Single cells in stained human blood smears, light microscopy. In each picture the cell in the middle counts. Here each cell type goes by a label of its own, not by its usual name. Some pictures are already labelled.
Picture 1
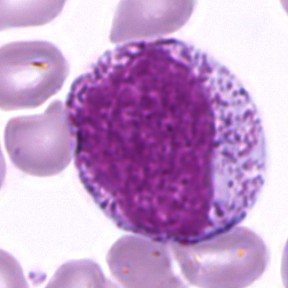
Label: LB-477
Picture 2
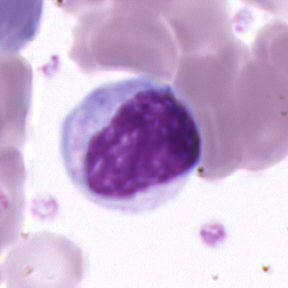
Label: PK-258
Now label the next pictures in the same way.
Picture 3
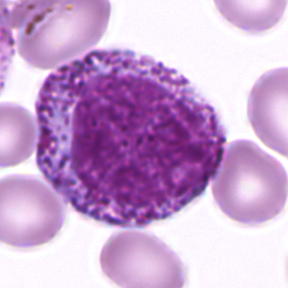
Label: LB-477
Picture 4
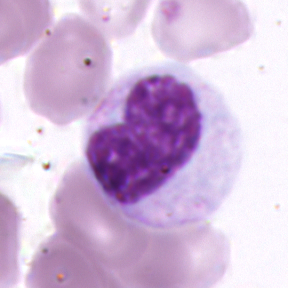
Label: PK-258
